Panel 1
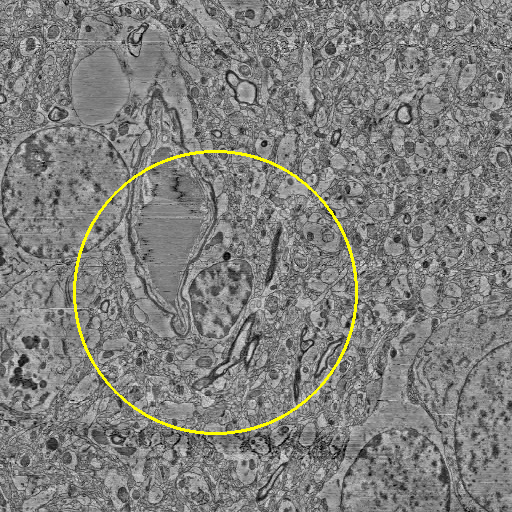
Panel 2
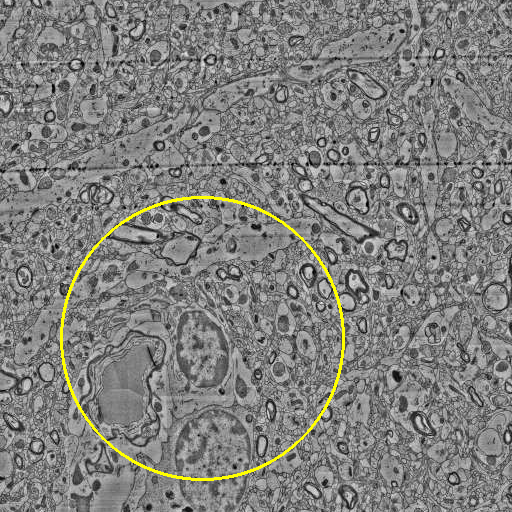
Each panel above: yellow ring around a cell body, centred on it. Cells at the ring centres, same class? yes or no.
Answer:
yes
